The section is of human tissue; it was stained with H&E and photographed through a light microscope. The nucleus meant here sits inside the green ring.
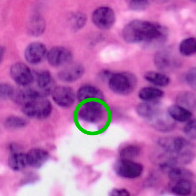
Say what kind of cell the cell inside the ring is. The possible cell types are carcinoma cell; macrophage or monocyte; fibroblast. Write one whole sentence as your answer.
The category to which the cell inside the ring belongs is that of a carcinoma cell.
